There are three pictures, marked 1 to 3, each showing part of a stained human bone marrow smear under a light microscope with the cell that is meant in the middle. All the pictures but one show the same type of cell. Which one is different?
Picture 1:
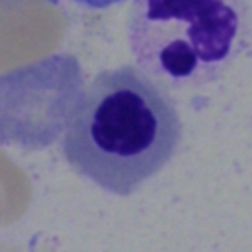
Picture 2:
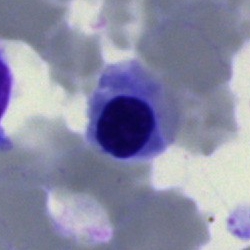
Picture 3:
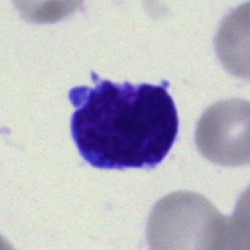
3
